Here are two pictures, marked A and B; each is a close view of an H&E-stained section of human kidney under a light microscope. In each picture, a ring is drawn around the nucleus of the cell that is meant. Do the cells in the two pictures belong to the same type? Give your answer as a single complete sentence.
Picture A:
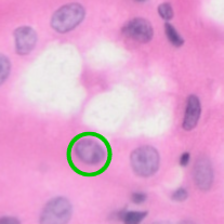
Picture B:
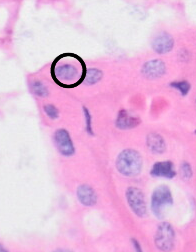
No; the cell in picture A is a proximal tubule cell, while the one in picture B is a “loop of Henle or distal tubule cell”.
